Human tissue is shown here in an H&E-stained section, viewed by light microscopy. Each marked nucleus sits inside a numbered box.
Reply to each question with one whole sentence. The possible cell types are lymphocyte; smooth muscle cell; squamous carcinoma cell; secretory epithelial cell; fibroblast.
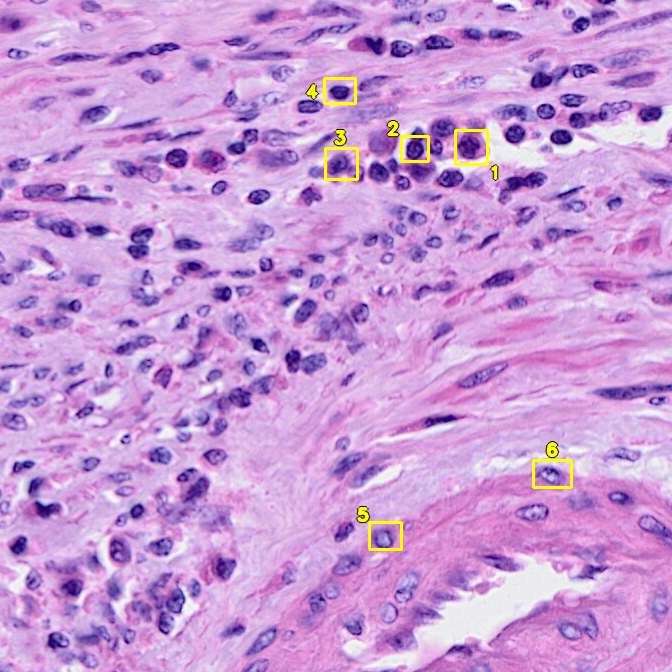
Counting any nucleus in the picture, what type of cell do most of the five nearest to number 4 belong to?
The majority of the five nuclei closest to number 4 belong to fibroblasts.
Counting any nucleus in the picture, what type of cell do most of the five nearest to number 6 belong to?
Most of the five nuclei nearest to number 6 are those of smooth muscle cells.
